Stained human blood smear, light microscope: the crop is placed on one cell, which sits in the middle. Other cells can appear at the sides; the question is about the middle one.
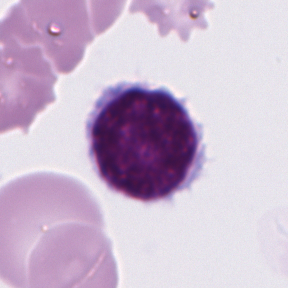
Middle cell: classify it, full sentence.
The cell sitting right in the middle is a hairy cell.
